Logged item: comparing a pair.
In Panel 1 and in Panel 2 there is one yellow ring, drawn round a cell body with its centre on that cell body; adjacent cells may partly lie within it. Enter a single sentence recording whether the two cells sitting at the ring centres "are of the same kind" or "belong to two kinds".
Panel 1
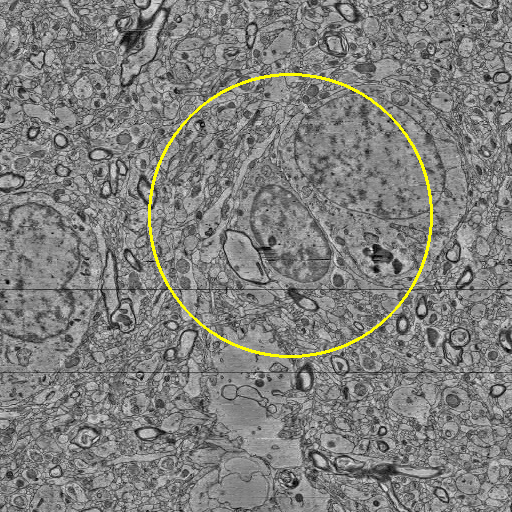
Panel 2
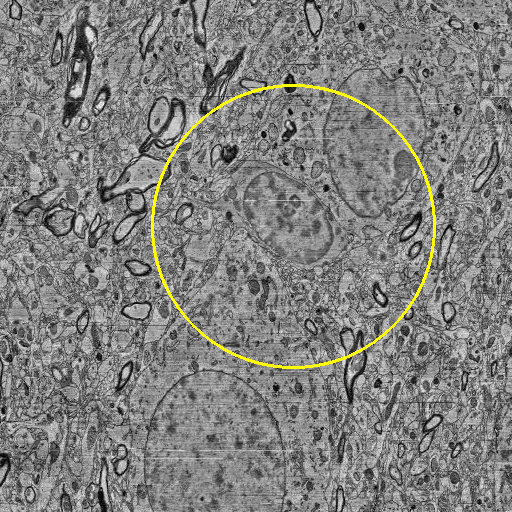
Logged: the cells centred in the rings of Panel 1 and Panel 2 are of the same kind.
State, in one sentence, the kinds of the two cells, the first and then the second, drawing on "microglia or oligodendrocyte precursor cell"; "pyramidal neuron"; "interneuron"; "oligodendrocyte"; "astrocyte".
Both pictures show an oligodendrocyte at the centre of the ring.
